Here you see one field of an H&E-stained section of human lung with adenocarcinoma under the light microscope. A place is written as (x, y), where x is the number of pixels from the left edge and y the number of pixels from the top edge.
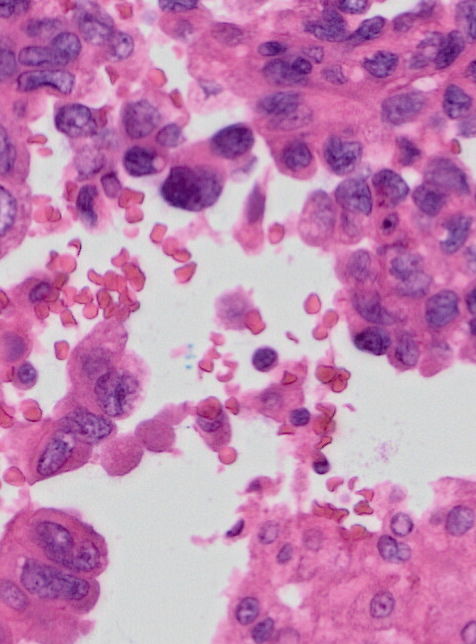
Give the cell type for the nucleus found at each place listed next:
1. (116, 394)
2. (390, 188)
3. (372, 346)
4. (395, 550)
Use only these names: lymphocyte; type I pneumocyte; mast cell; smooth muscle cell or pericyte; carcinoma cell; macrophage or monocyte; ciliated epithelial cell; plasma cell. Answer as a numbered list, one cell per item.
1. carcinoma cell
2. carcinoma cell
3. carcinoma cell
4. macrophage or monocyte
